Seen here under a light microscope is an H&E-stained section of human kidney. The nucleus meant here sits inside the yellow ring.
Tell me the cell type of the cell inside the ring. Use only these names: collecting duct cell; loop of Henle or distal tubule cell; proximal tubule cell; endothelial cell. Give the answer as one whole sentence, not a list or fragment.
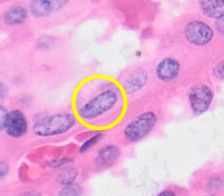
Just put down that the cell inside the ring is a collecting duct cell.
